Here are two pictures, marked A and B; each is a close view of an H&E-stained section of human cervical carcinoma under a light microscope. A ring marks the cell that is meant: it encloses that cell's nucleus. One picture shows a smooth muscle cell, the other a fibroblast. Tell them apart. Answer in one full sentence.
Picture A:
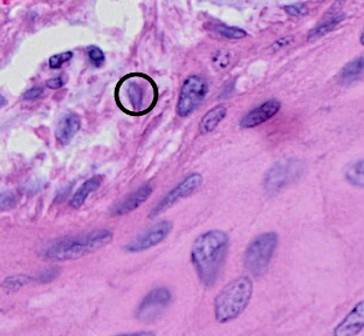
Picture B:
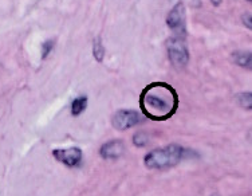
Picture A shows a fibroblast and picture B shows a smooth muscle cell.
